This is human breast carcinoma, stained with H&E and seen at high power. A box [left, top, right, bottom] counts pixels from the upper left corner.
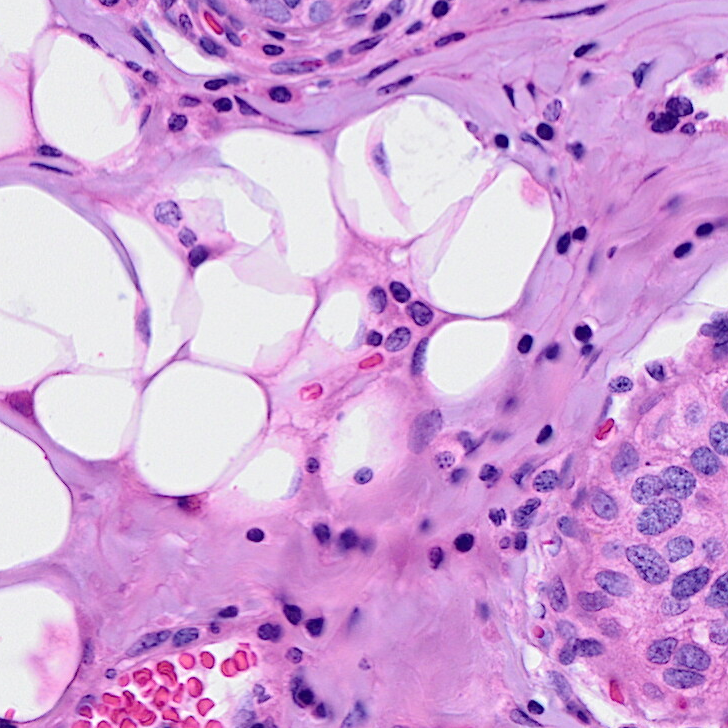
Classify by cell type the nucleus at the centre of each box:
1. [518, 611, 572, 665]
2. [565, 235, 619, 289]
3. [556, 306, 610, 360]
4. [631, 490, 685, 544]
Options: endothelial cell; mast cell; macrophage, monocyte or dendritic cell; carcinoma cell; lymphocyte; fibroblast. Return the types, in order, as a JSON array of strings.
["endothelial cell", "fibroblast", "lymphocyte", "carcinoma cell"]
